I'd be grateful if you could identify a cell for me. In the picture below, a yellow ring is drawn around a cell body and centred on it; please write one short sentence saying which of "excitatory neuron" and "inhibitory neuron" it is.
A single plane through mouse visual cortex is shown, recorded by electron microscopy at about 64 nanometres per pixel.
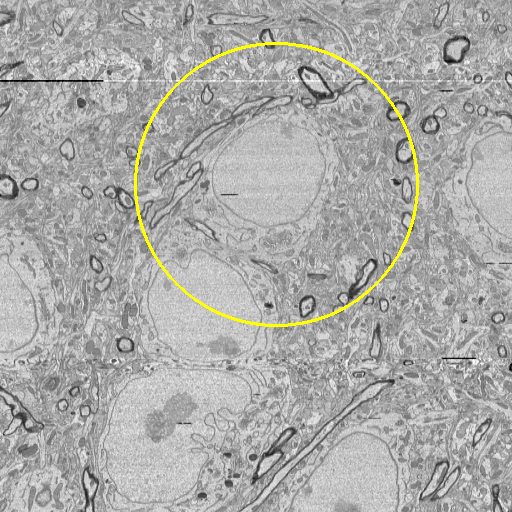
The cell under the ring's centre is an excitatory neuron.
